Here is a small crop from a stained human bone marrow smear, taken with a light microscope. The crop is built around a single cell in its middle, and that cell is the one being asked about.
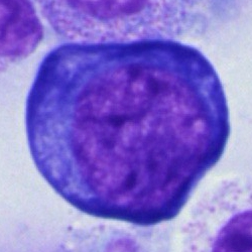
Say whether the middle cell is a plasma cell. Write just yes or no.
no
